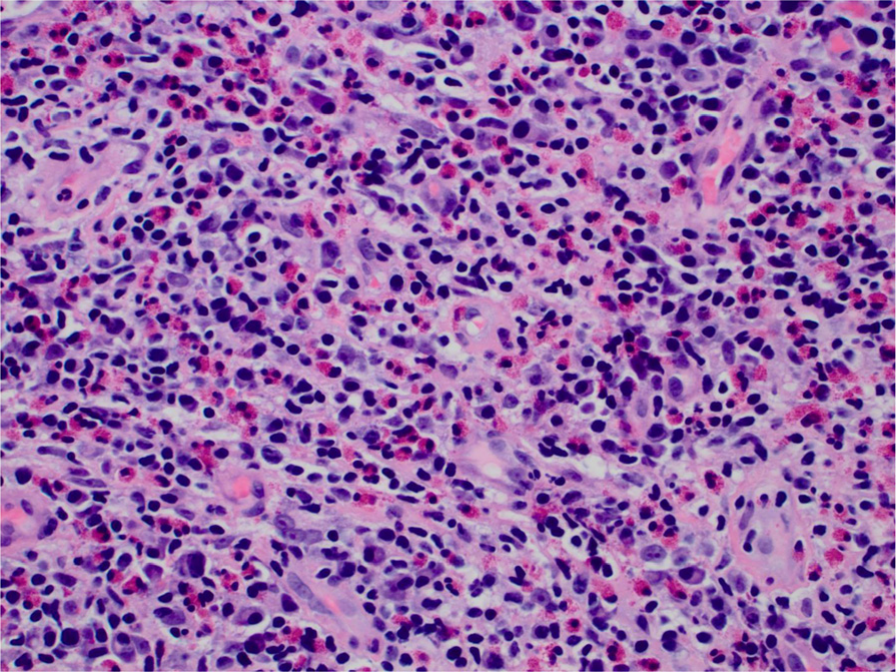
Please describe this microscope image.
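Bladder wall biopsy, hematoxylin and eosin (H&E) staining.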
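Many cells have cytoplasm filled with coarse bright red-orange granules and dark, often lobed nuclei. They are scattered through the whole field. Between them lie many small cells with round, dark, compact nuclei and scant cytoplasm, along with occasional larger cells with paler oval nuclei. Several small vessels run through the tissue. They are cut in cross and oblique section and lined by plump cells, and some have pink material in their lumens. The pale pink stroma between the cells is largely hidden by the infiltrate.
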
